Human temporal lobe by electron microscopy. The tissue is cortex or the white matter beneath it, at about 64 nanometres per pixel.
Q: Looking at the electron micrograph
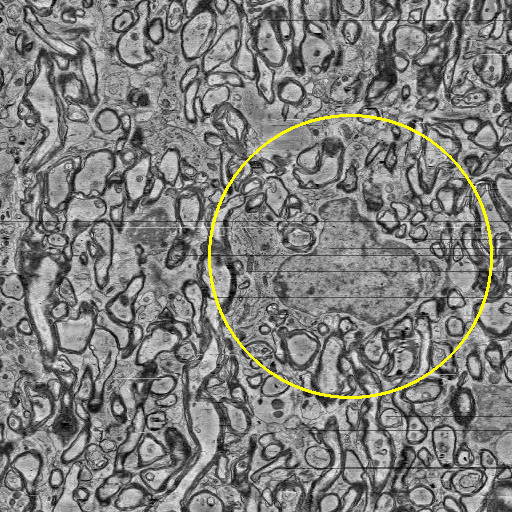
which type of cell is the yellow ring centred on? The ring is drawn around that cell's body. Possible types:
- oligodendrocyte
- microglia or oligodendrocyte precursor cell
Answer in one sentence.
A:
The yellow ring is centred on a microglial cell or oligodendrocyte precursor cell.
